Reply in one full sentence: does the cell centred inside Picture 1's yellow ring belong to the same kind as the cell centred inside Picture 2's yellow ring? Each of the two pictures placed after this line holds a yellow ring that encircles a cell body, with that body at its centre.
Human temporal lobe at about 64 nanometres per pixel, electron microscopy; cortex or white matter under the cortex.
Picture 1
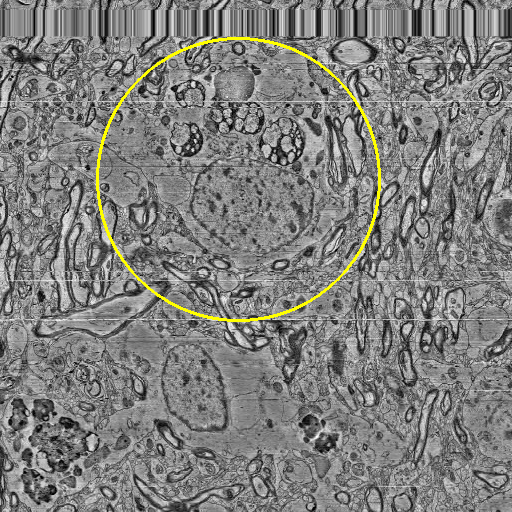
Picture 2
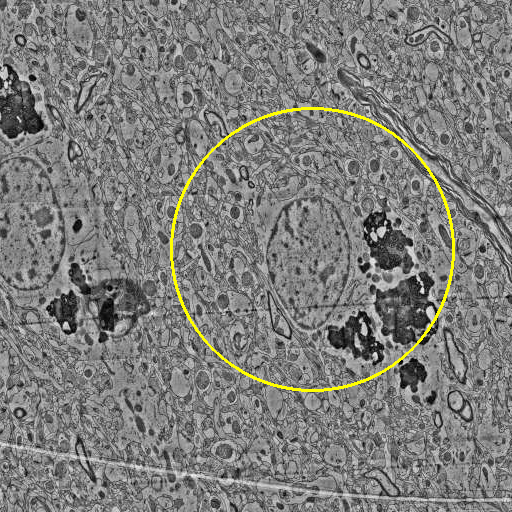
Yes, the ring-centred cells in Picture 1 and Picture 2 are of one and the same kind.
